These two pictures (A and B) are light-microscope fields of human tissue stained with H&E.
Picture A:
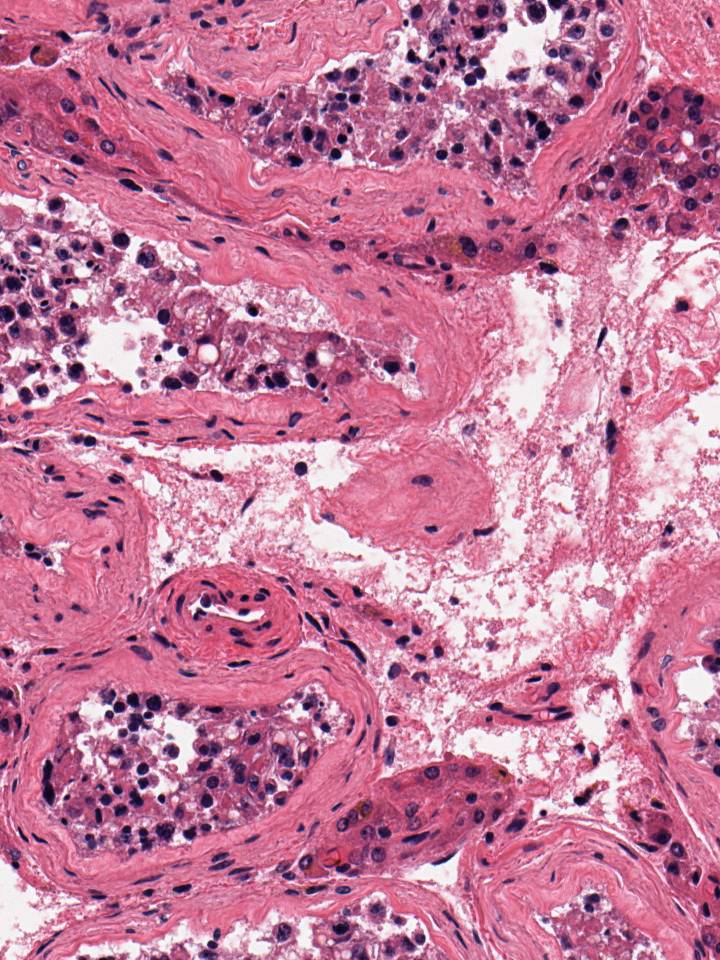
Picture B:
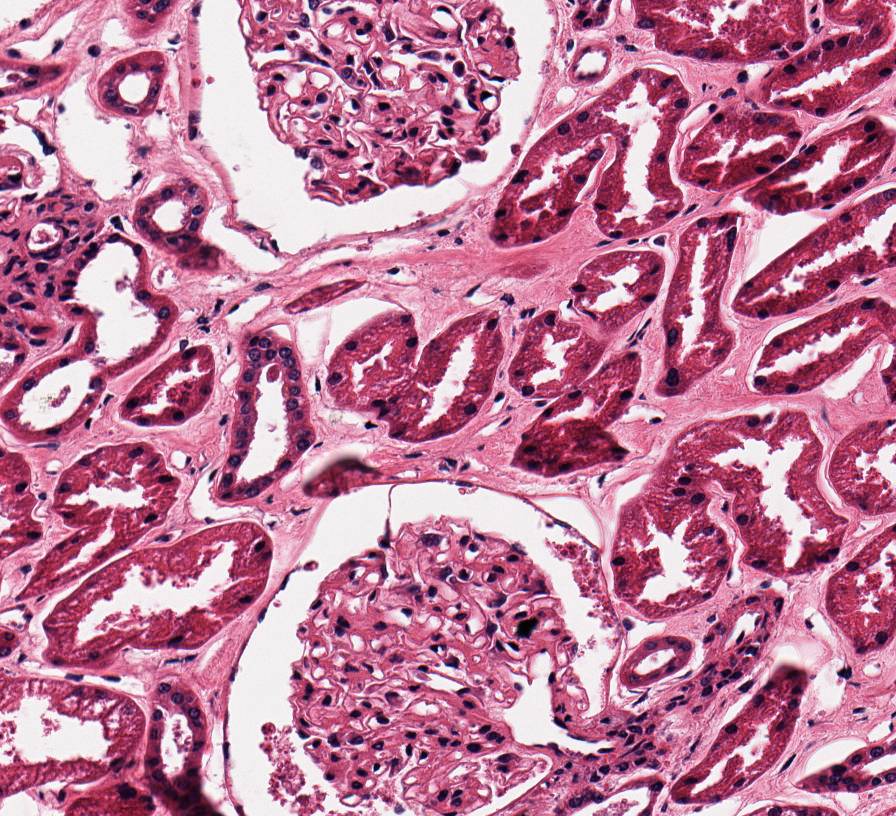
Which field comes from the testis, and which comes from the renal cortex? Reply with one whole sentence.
Picture B comes from the renal cortex, while picture A comes from the testis.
